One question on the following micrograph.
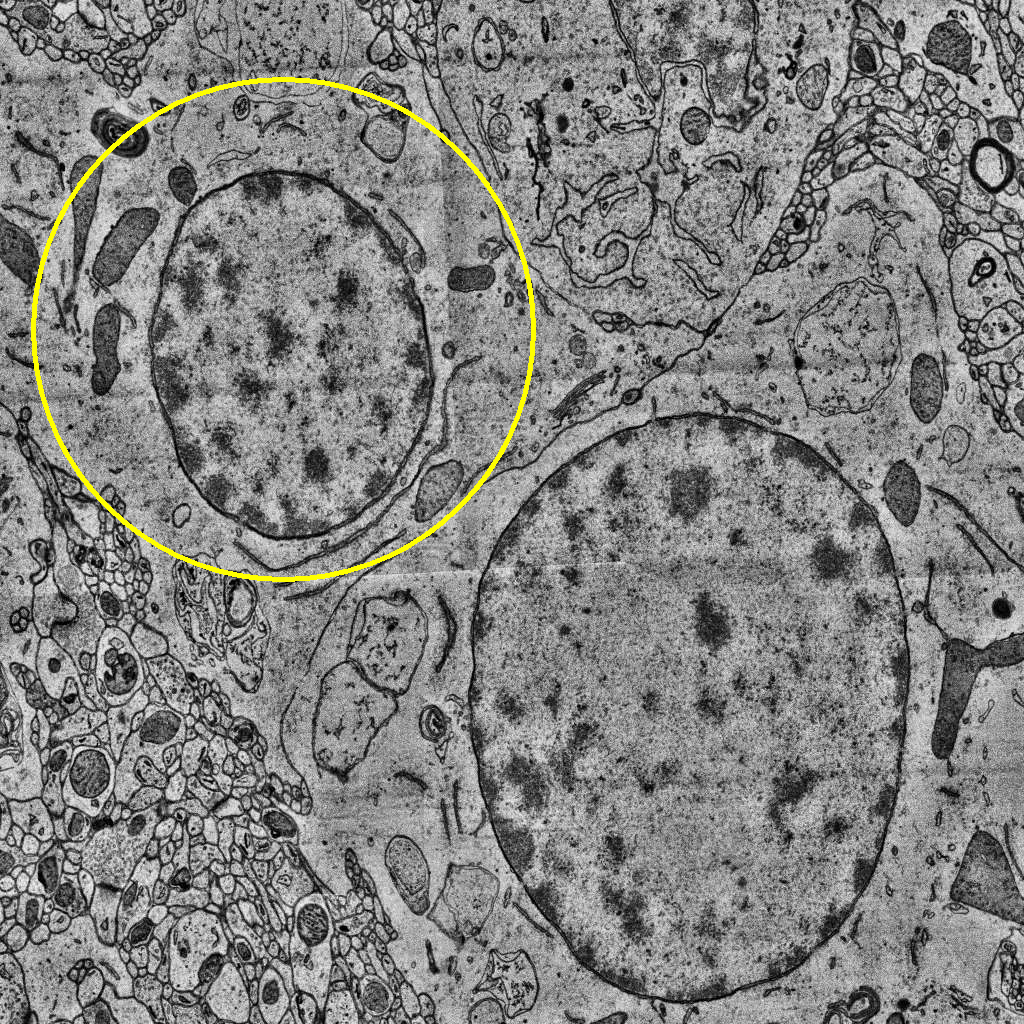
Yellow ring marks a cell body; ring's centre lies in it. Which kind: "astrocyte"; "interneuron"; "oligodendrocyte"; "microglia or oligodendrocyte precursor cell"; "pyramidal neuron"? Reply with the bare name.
astrocyte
